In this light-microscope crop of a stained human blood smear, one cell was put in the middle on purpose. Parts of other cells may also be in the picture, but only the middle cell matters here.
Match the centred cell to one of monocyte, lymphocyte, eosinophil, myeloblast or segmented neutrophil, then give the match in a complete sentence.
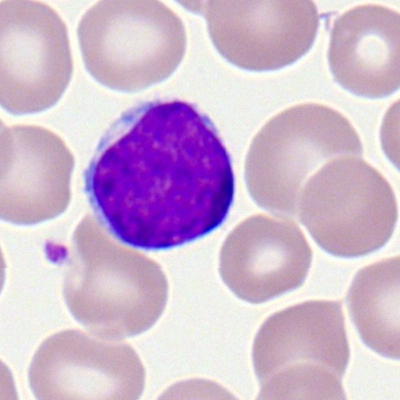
The centrally positioned cell in the crop represents a lymphocyte.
